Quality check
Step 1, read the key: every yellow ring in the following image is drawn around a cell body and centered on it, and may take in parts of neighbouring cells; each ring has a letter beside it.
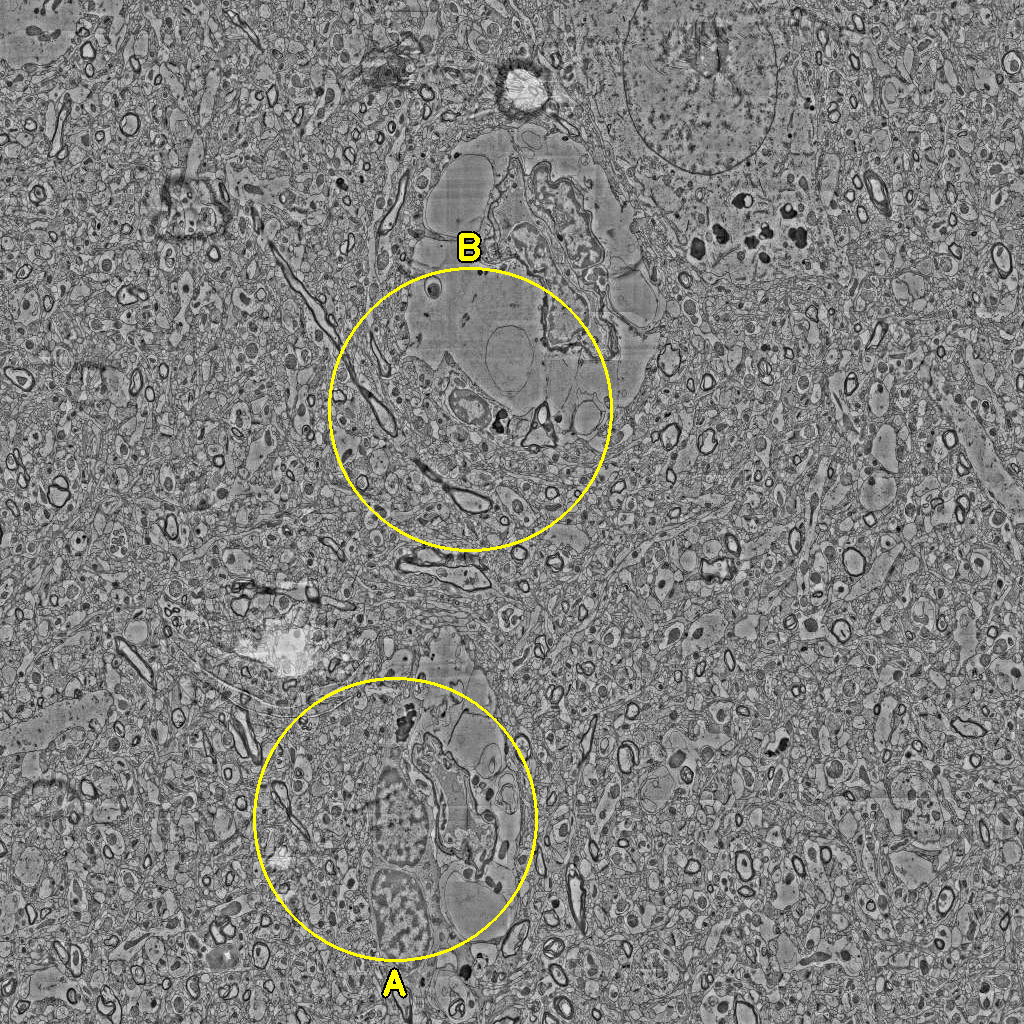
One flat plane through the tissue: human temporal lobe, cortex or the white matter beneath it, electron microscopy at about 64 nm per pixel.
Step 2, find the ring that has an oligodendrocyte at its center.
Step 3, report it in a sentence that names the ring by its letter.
Ring A is centered on that cell.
